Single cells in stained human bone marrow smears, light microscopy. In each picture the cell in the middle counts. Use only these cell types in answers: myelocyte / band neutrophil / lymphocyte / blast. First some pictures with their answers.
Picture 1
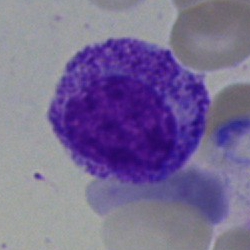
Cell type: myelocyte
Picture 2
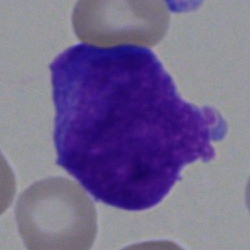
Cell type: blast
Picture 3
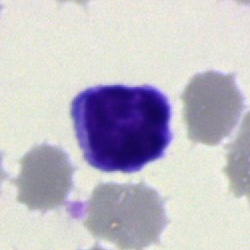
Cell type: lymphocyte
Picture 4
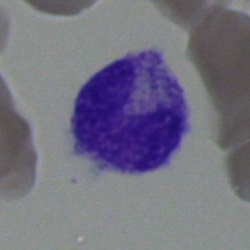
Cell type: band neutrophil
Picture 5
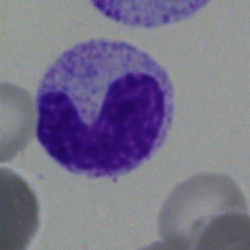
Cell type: band neutrophil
